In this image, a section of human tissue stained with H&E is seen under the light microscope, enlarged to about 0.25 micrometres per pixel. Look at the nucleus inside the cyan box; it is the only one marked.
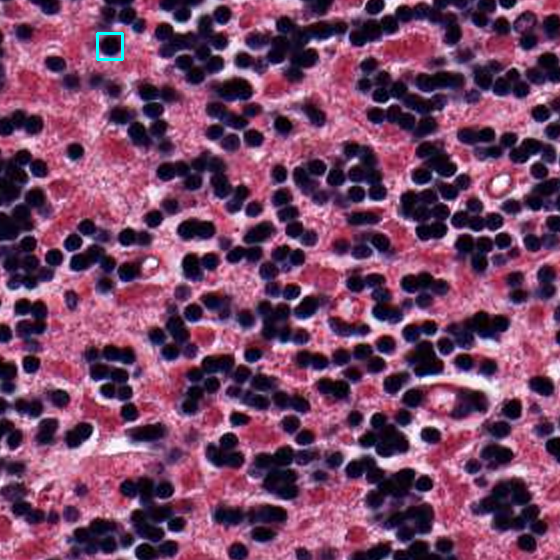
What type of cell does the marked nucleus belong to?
cerebellar granule cell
